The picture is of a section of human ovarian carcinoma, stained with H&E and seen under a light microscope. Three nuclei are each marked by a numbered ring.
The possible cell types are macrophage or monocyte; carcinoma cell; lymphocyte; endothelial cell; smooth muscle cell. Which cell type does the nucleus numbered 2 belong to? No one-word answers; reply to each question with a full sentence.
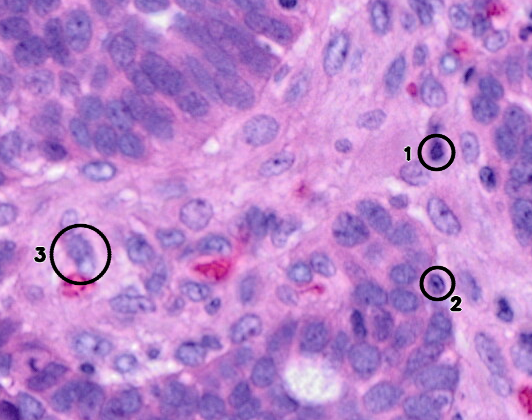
Cell 2 in the field of view is a lymphocyte.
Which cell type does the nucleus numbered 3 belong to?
The cell pointed out by number 3 is an endothelial cell.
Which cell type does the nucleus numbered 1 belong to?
Among the marked nuclei, number 1 belongs to a lymphocyte.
